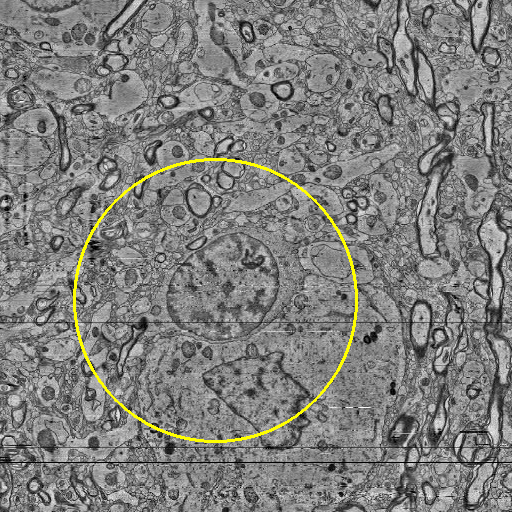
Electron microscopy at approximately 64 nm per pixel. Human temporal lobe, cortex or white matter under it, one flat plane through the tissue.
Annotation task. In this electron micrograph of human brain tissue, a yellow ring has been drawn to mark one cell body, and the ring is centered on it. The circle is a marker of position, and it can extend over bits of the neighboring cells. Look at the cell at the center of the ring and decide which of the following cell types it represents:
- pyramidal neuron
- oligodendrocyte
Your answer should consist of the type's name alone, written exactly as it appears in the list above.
oligodendrocyte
